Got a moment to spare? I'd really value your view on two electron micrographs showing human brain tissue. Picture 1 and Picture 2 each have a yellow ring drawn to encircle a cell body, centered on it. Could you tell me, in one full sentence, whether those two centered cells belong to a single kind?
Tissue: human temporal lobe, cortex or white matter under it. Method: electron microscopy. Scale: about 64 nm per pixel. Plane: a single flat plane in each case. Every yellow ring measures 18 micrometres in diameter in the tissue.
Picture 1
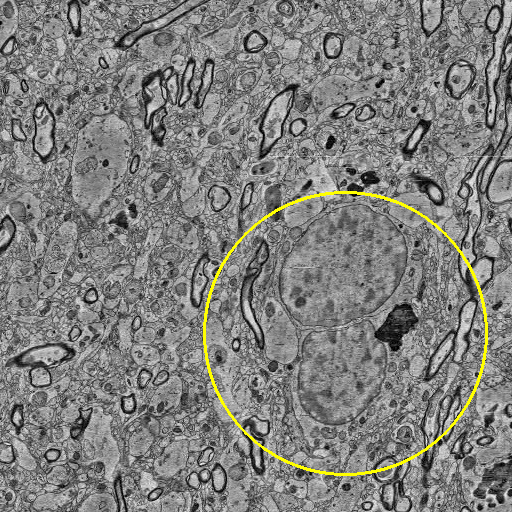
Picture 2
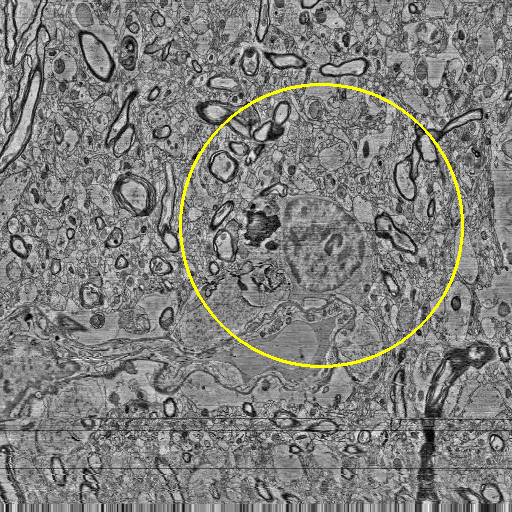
Yes, the two centered cells in Picture 1 and Picture 2 are of a single kind.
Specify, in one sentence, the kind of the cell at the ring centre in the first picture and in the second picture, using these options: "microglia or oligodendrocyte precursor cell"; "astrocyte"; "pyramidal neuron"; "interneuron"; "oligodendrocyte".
Each of the two rings surrounds an oligodendrocyte.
